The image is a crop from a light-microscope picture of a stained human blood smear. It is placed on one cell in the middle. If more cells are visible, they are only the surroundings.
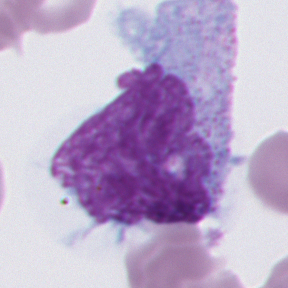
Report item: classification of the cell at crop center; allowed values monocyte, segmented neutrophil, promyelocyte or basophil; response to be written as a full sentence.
The cell that lies at the centre of the crop is a monocyte.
